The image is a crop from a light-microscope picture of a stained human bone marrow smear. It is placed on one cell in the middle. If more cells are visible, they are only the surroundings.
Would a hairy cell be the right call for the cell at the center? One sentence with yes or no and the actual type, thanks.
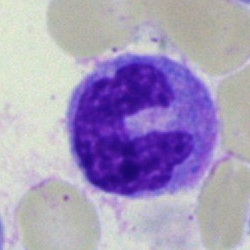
No, the centrally placed cell is a monocyte, not a hairy cell.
